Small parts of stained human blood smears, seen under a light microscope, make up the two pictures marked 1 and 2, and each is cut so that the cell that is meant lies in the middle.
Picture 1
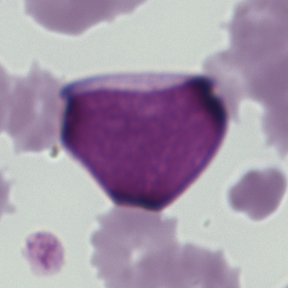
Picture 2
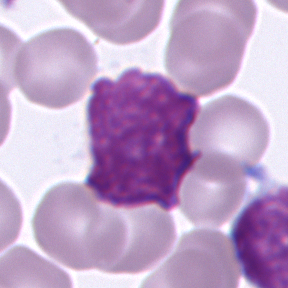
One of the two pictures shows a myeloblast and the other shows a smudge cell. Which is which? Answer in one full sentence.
Picture 1 is of a myeloblast, and picture 2 is of a smudge cell.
